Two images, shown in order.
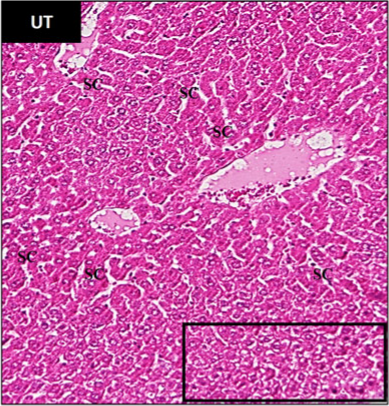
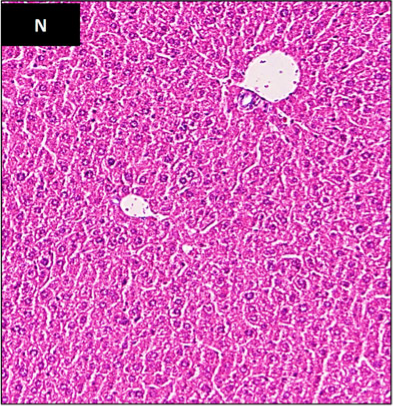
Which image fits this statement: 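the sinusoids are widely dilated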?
The first image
